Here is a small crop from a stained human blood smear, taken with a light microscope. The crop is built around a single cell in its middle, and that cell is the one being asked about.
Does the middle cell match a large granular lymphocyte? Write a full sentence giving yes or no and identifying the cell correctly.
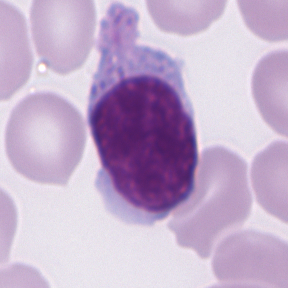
Yes, the crop's central cell is a large granular lymphocyte.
